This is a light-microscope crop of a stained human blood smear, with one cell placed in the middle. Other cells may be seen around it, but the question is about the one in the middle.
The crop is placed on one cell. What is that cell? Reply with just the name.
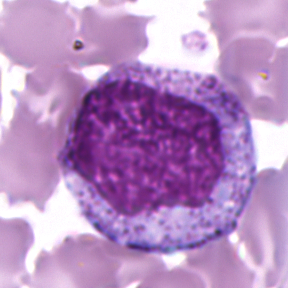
myelocyte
